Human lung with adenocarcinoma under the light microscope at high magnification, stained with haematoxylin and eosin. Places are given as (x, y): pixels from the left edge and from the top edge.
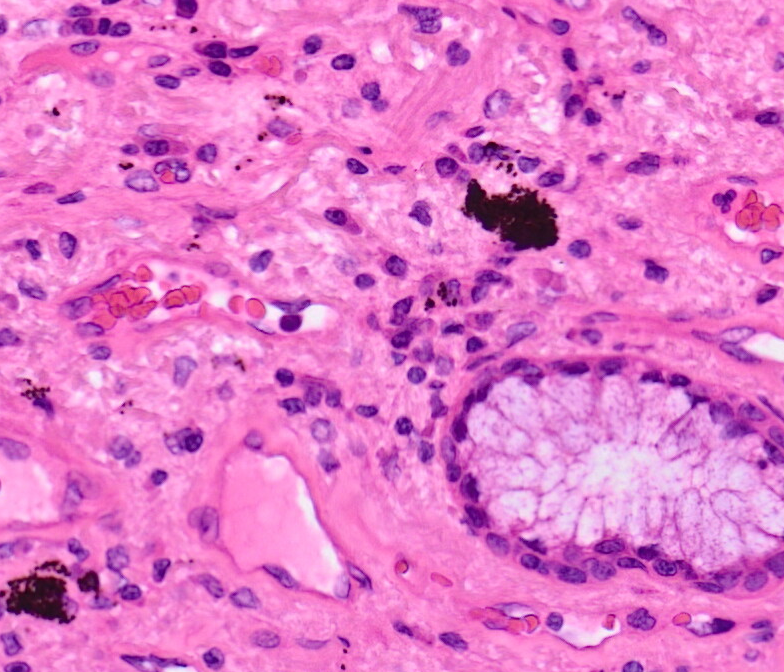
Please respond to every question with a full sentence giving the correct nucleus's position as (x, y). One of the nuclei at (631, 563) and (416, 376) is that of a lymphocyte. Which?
The nucleus at (416, 376) is identified as belonging to a lymphocyte.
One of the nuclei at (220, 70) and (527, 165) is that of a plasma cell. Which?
Of the two nuclei, the nucleus belonging to a plasma cell is located at (220, 70).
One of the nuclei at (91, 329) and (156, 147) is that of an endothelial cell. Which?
Of the two nuclei, the nucleus belonging to an endothelial cell is located at (91, 329).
